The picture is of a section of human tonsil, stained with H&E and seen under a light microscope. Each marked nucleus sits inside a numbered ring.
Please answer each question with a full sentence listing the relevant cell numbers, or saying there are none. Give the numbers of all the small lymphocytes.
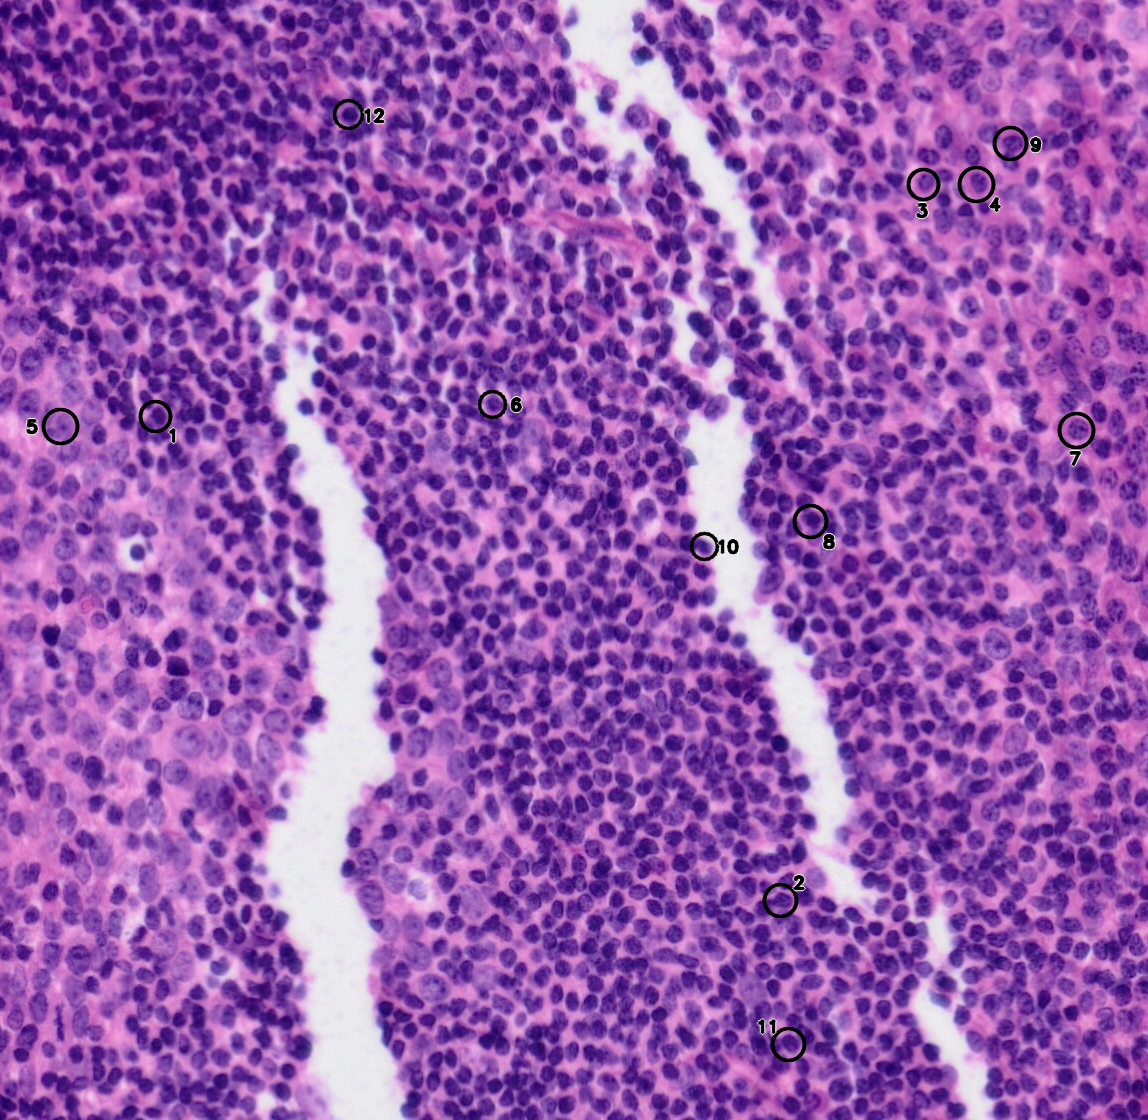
The cells 1, 2, 6, 8, 10, 11 and 12 in this section are small lymphocytes.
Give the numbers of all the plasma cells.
The cells that have been numbered 3, 4, 7 and 9 are plasma cells.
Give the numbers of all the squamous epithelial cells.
Of the numbered cells, zero are squamous epithelial cells.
